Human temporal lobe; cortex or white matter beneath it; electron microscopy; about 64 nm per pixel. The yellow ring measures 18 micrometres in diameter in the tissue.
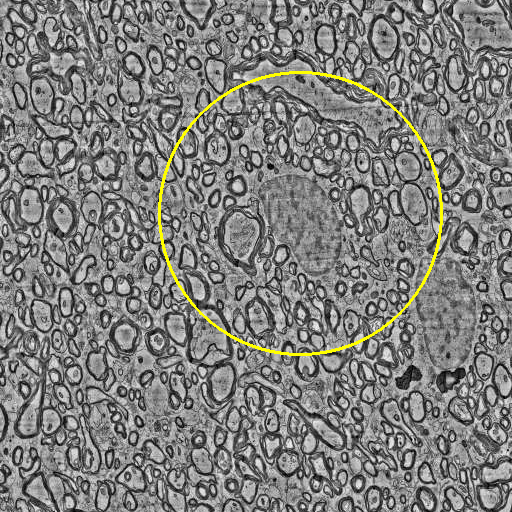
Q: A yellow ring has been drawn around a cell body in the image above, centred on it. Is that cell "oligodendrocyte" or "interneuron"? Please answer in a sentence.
The ring surrounds the cell body of an oligodendrocyte.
